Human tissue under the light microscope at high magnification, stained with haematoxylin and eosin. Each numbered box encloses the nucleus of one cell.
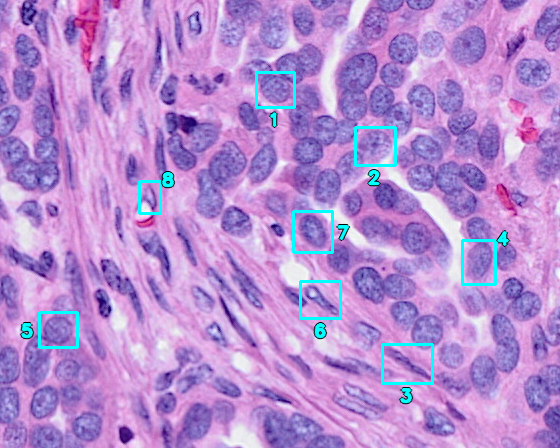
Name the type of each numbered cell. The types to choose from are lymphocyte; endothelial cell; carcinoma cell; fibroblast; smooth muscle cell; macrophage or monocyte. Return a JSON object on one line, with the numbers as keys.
{"1": "carcinoma cell", "2": "carcinoma cell", "3": "fibroblast", "4": "carcinoma cell", "5": "carcinoma cell", "6": "fibroblast", "7": "carcinoma cell", "8": "endothelial cell"}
